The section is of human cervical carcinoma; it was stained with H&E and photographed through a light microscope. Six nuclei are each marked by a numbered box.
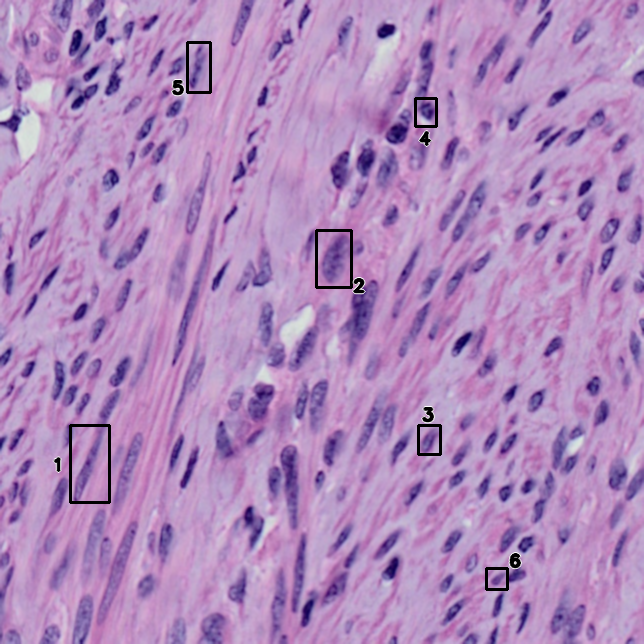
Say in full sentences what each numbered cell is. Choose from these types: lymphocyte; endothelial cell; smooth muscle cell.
Cells 1, 3, 5 and 6 are smooth muscle cells. Cell 2 is an endothelial cell. Cell 4 is a lymphocyte.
